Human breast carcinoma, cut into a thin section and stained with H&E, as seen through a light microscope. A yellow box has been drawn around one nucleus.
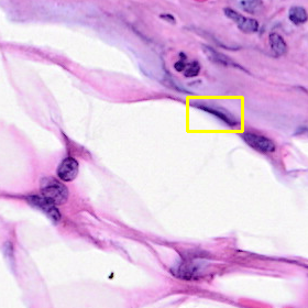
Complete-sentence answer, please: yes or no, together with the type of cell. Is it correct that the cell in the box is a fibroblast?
Yes, it is the case that the cell in the box is a fibroblast.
